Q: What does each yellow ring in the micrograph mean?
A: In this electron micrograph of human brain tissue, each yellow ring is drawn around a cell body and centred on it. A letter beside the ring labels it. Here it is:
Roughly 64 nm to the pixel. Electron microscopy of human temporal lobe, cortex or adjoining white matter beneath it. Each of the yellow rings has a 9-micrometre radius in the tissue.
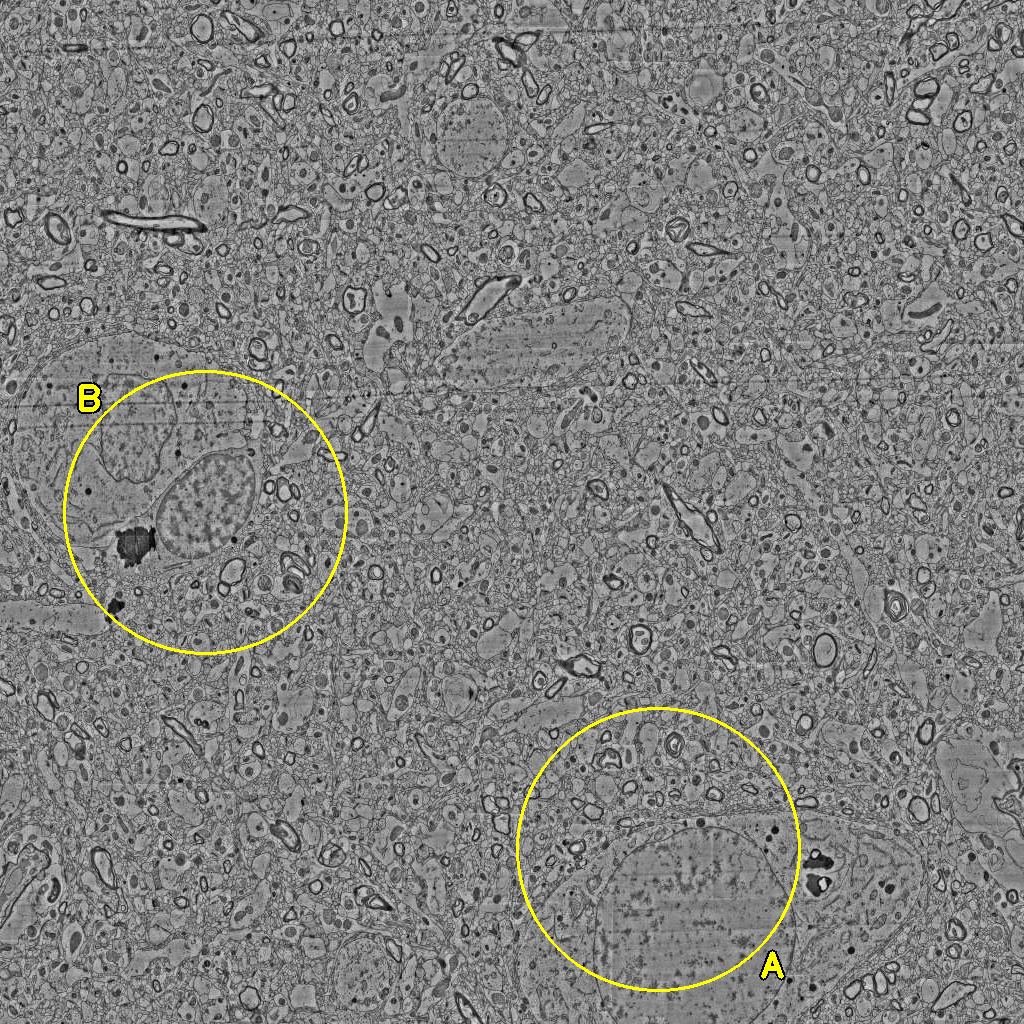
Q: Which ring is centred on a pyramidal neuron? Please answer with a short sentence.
Ring A is the one centred on it.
